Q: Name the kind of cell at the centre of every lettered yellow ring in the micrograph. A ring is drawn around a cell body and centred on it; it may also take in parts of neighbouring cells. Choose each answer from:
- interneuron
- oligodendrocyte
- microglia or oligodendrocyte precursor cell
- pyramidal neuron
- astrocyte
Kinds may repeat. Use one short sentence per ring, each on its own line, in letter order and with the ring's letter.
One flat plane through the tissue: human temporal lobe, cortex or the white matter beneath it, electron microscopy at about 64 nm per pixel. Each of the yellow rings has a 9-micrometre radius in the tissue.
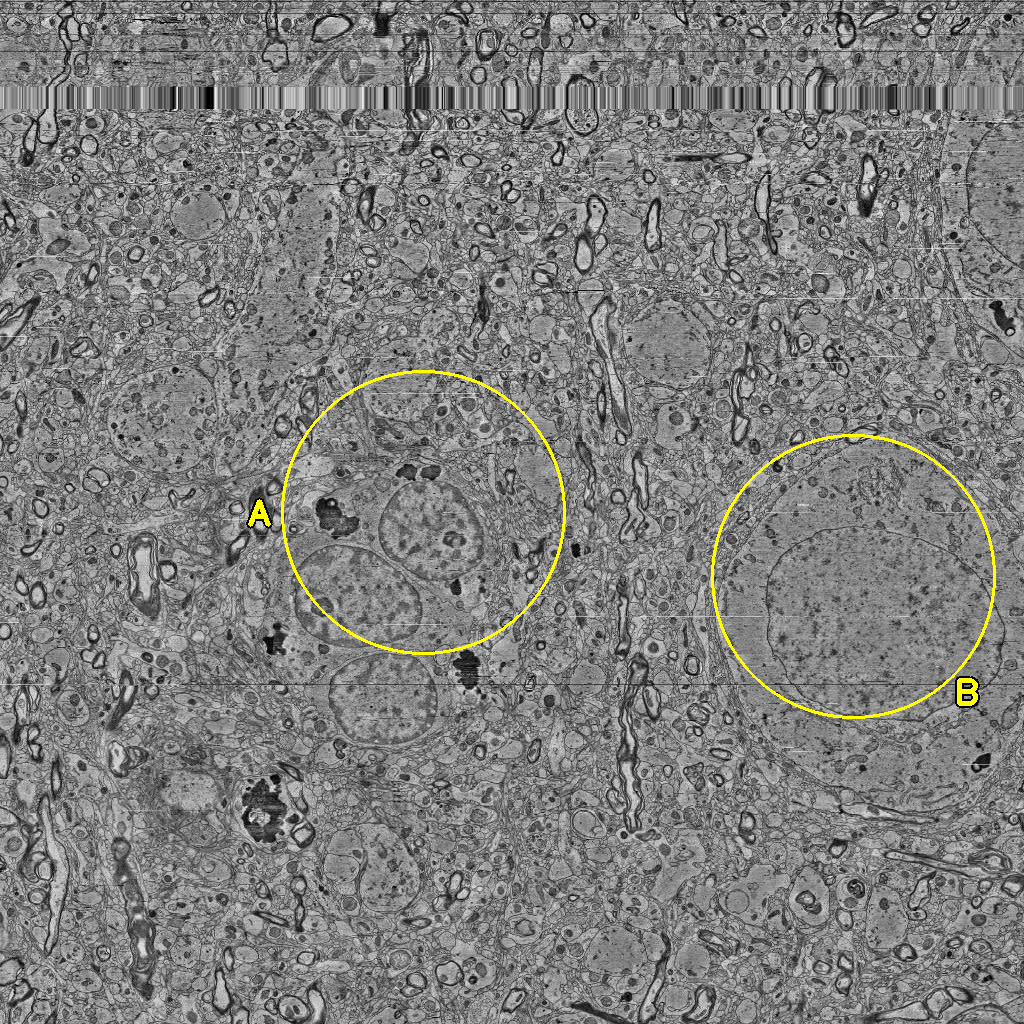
Ring A is placed around an oligodendrocyte.
Ring B is placed around a pyramidal neuron.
